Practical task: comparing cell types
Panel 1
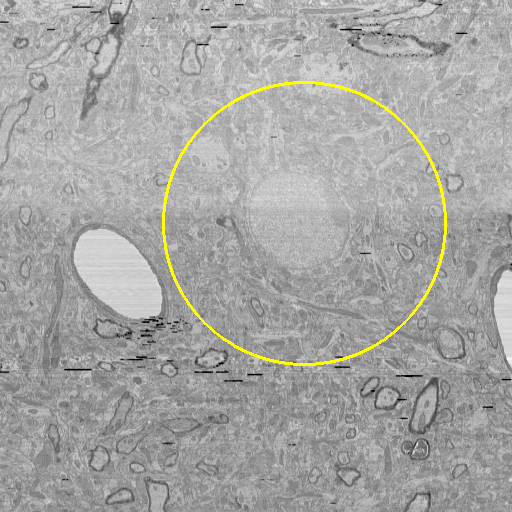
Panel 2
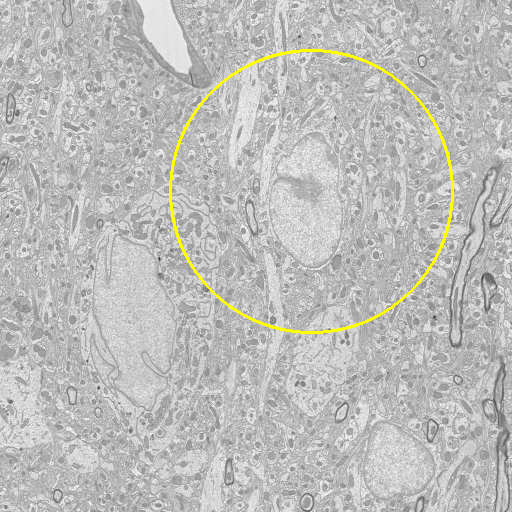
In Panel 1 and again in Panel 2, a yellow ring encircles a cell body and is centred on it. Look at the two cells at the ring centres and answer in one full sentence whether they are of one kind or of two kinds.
The two cells sitting at the ring centres of Panels 1 and 2 are of one kind.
